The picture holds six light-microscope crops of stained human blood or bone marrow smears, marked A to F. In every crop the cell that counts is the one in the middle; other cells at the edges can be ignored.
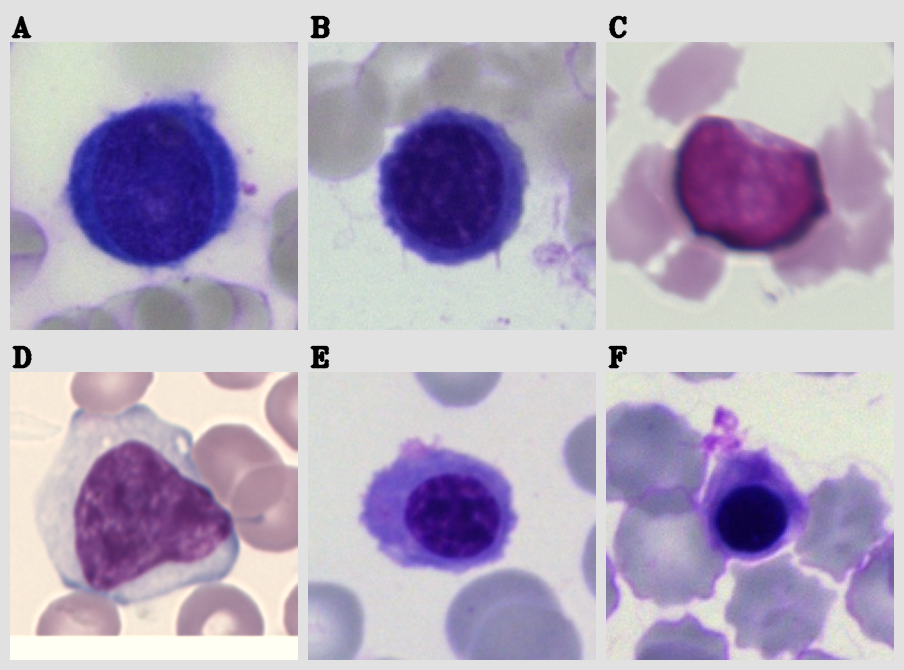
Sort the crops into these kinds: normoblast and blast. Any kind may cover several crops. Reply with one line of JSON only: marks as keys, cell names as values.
{"A": "blast", "B": "normoblast", "C": "blast", "D": "blast", "E": "normoblast", "F": "normoblast"}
